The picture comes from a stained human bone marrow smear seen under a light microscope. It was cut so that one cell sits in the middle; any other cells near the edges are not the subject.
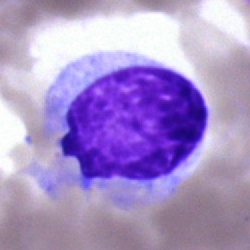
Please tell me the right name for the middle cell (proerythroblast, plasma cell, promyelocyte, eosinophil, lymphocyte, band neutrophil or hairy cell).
hairy cell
